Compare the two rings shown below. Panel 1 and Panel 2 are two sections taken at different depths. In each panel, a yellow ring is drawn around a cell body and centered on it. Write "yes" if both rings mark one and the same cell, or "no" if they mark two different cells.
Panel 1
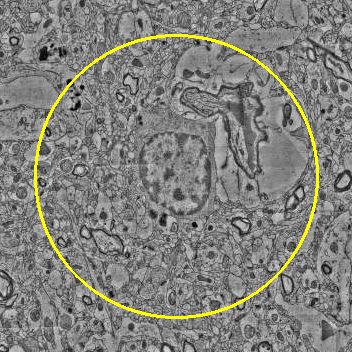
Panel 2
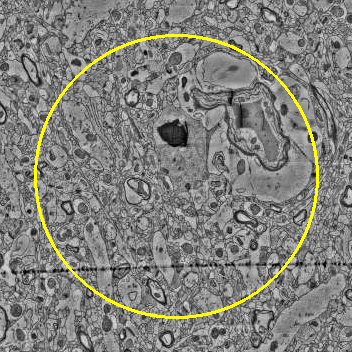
yes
